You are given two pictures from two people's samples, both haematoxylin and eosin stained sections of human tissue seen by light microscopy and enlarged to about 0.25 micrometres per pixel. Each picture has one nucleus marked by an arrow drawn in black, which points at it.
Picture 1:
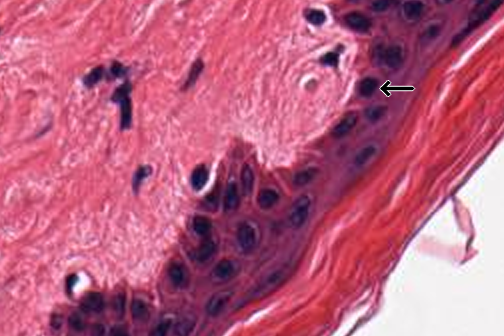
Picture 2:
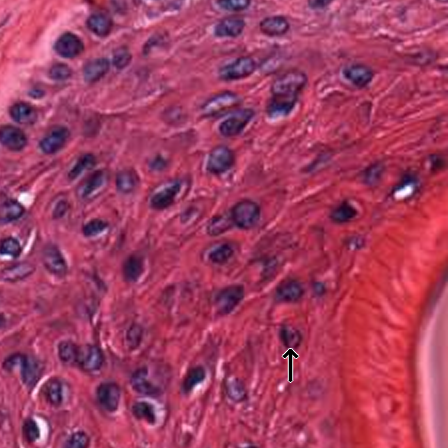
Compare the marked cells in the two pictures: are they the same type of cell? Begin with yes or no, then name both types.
Yes, both are keratinocytes.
